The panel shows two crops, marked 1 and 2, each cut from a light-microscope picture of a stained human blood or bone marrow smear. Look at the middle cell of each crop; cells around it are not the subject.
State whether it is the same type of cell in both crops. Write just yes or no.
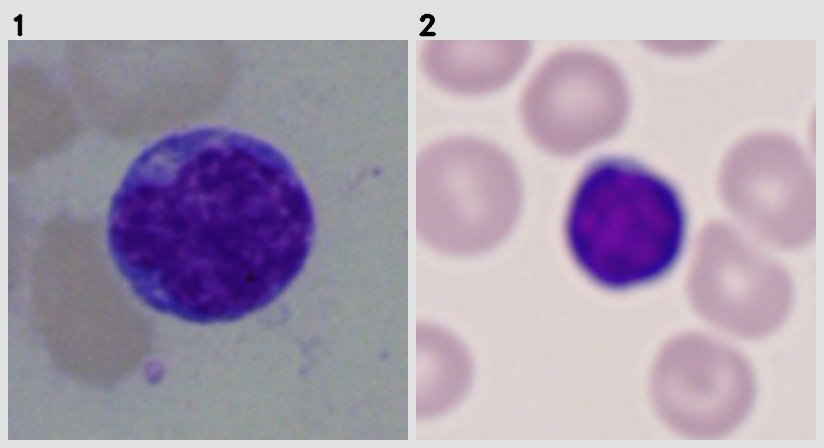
no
